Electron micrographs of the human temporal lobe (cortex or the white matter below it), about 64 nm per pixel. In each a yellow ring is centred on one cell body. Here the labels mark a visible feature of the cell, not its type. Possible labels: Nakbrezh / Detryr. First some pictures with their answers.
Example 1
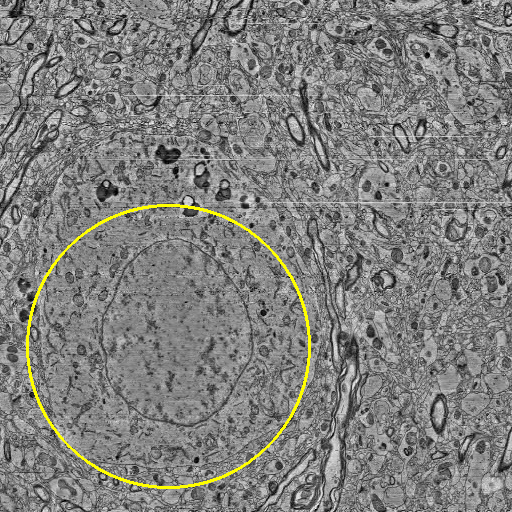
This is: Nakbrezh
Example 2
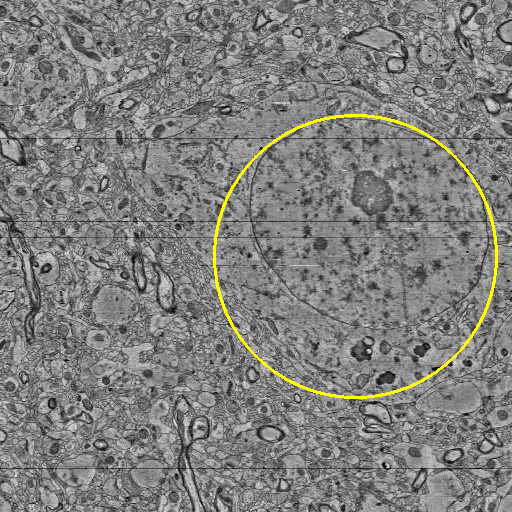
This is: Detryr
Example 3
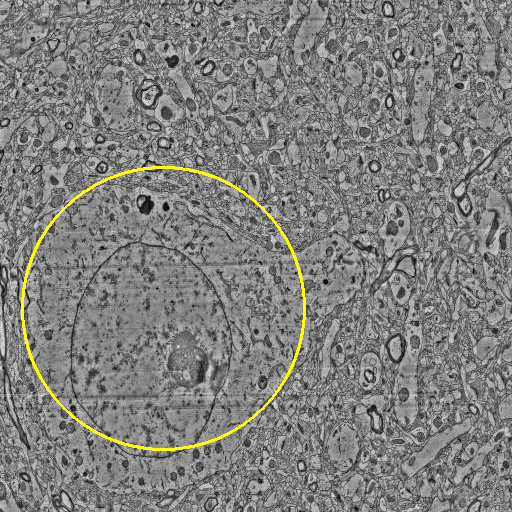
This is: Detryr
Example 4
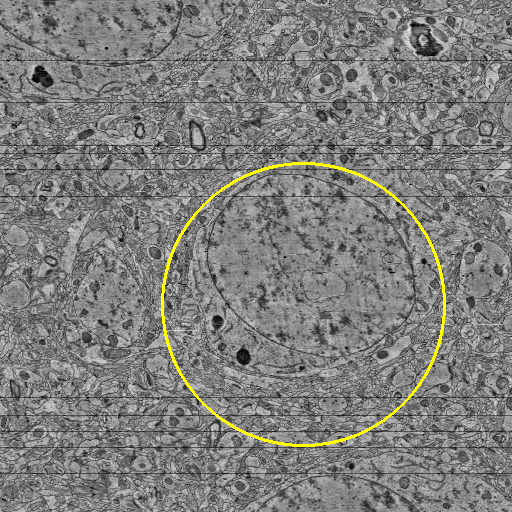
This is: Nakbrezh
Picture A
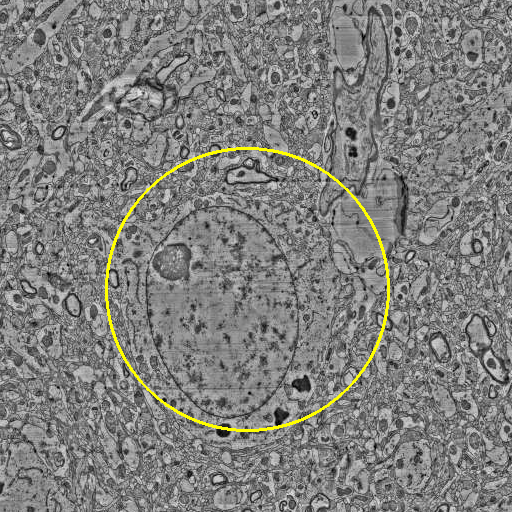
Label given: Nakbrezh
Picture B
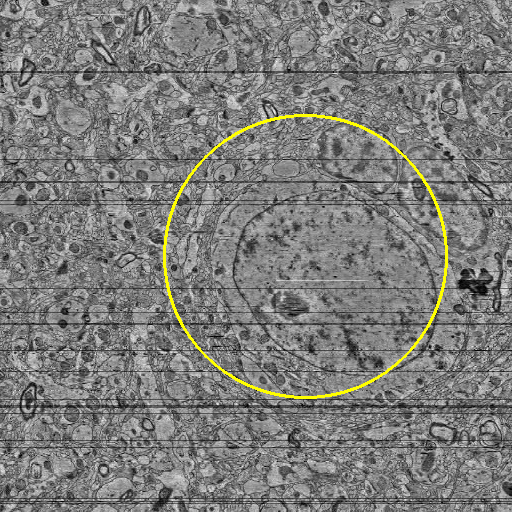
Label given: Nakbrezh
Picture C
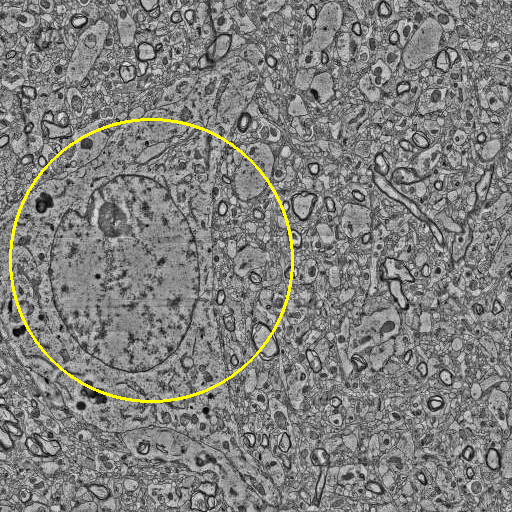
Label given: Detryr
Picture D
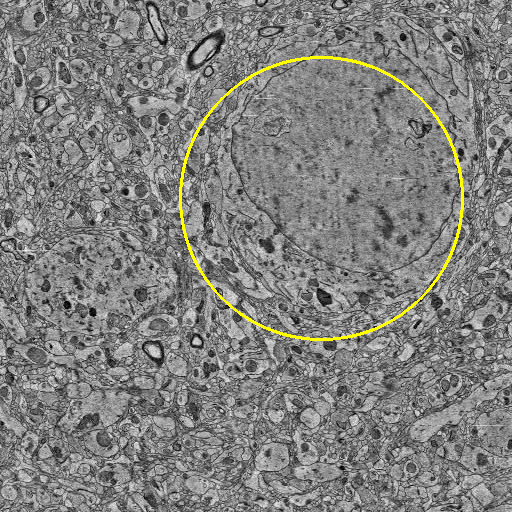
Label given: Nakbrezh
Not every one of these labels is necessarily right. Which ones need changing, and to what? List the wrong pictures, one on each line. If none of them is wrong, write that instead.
A: Detryr, not Nakbrezh
B: Detryr, not Nakbrezh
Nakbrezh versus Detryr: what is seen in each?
Nakbrezh: no nucleolus seen; Detryr: nucleolus seen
